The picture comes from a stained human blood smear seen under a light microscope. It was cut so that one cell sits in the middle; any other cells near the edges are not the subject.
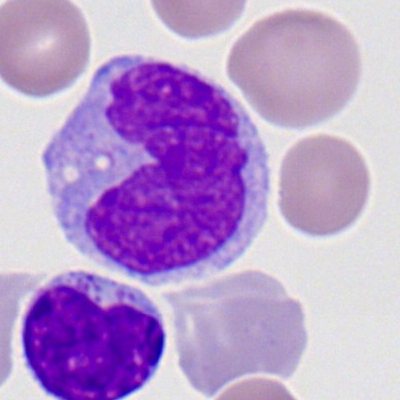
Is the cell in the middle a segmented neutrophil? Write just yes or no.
no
